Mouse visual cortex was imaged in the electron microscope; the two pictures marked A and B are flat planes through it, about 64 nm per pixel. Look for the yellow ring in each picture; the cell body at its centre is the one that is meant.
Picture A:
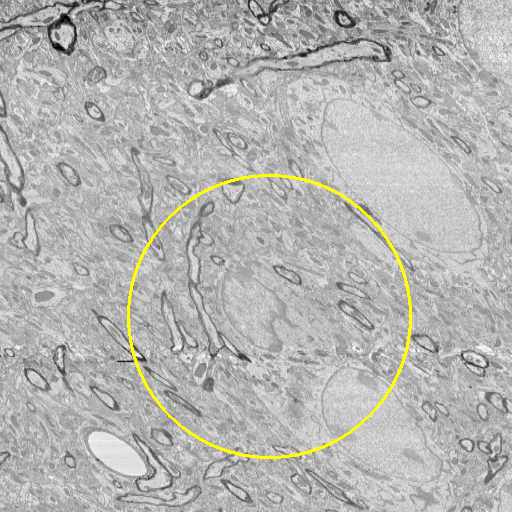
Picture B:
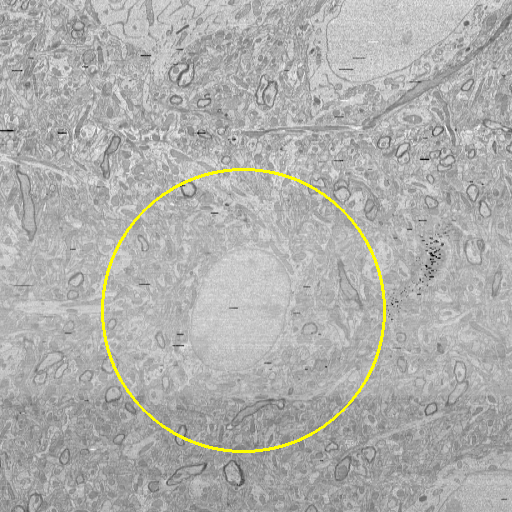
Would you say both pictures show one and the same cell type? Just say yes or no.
no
